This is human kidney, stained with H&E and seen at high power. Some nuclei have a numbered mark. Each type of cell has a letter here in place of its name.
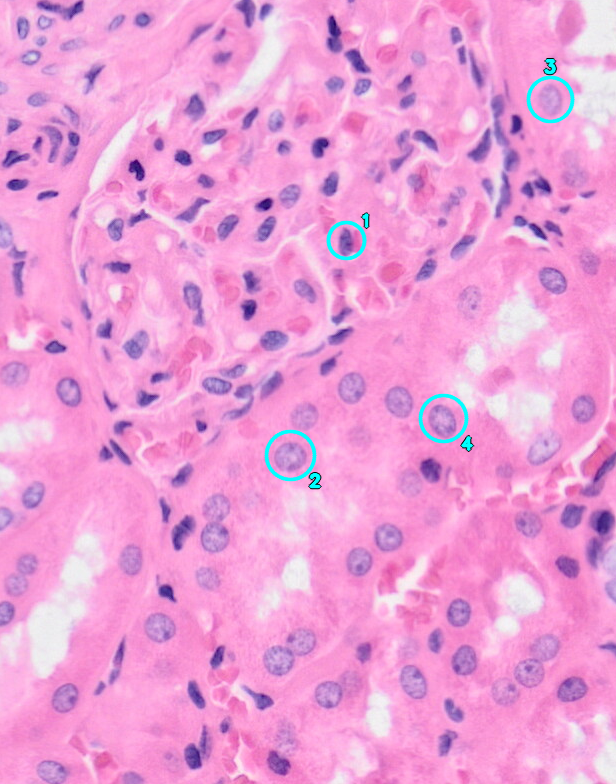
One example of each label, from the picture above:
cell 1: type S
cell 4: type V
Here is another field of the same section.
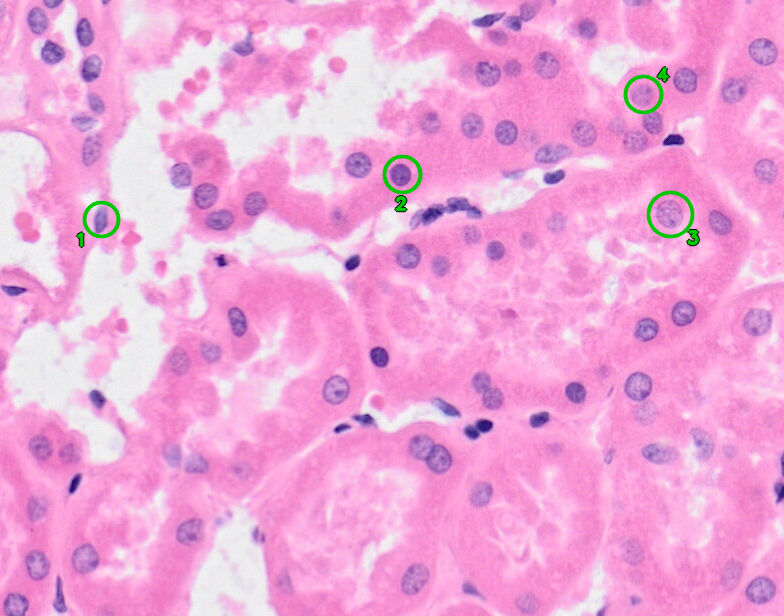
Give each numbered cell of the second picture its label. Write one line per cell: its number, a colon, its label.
1: type S
2: type V
3: type V
4: type V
